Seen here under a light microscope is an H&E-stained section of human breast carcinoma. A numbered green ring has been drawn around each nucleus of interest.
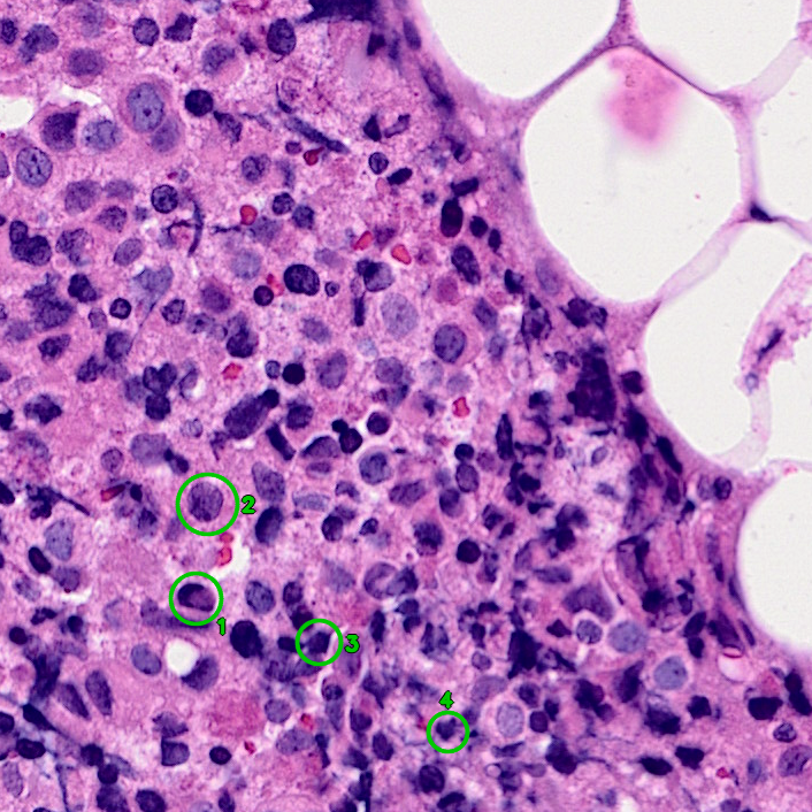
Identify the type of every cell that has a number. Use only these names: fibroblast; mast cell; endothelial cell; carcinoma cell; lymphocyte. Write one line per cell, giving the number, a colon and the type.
1: carcinoma cell
2: carcinoma cell
3: carcinoma cell
4: lymphocyte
